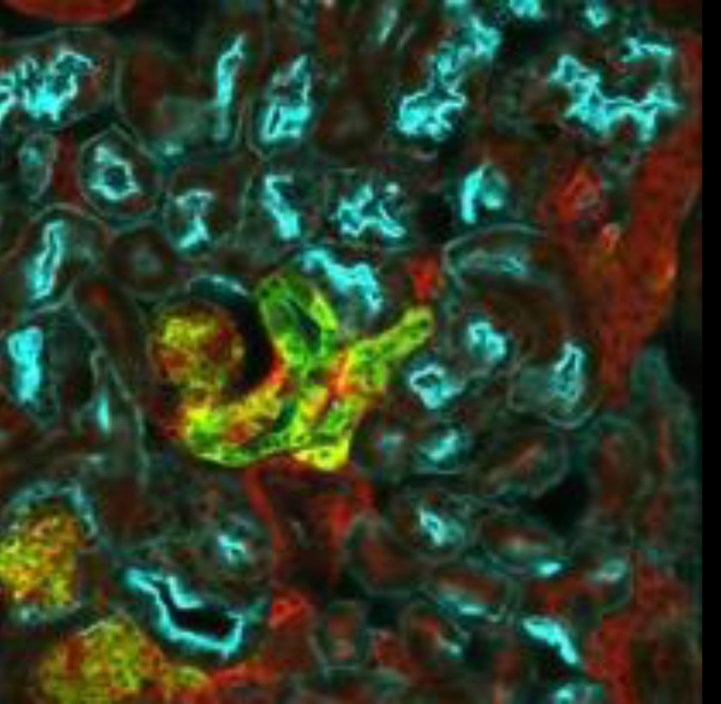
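This is kidney cortex crowded with tubule cross-sections, many of which show bright cyan along their irregular lumina. Near the centre a curved, branching green tubular segment lies beside a yellow-red glomerulus. The green segment carries no cyan luminal band. Further yellow-red glomeruli appear toward the lower left corner.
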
